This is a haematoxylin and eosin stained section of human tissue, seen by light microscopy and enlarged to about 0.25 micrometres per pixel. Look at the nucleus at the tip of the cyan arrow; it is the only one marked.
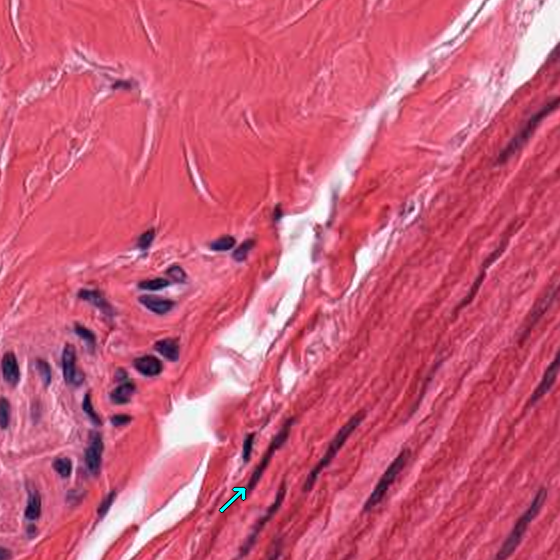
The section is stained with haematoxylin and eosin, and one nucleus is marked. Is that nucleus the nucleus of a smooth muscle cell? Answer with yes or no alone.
yes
